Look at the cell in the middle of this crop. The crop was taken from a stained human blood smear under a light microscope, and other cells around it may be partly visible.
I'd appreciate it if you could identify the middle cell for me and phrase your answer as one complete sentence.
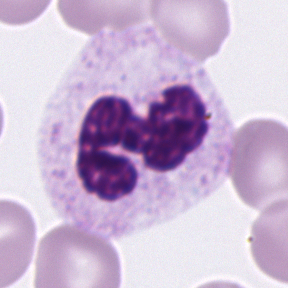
Among the cells in view, the one in the middle is a neutrophil.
